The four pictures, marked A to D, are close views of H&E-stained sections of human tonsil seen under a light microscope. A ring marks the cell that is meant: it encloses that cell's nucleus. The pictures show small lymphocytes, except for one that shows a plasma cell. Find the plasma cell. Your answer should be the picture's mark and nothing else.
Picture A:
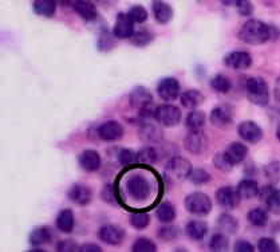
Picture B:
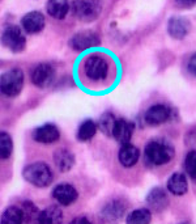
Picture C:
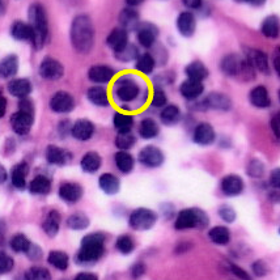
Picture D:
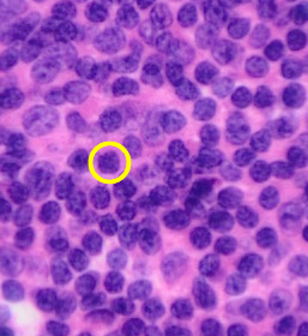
B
